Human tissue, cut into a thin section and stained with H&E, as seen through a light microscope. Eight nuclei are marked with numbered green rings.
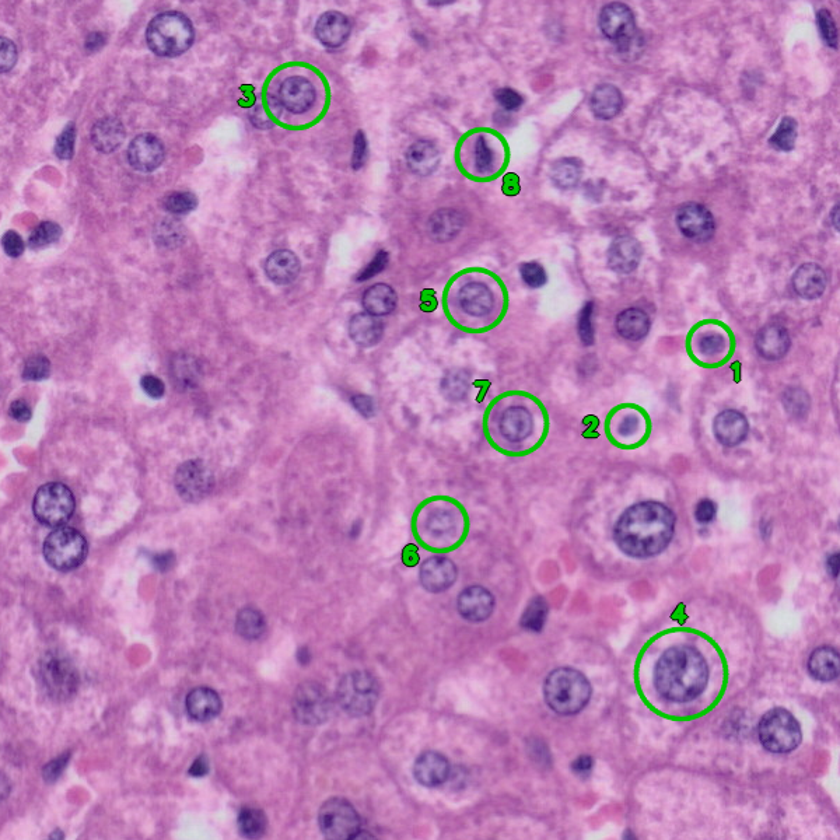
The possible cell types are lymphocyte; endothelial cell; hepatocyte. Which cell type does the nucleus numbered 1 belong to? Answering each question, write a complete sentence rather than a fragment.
Identified as a lymphocyte is the cell bearing the number 1.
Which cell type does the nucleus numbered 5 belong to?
The cell referenced by the number 5 is a hepatocyte in this field.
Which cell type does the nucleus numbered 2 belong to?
The cell marked with the number 2 is a lymphocyte.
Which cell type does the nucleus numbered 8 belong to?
Recognised here as an endothelial cell is the cell numbered 8.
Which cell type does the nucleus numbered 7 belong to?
The cell pointed out by number 7 is a hepatocyte.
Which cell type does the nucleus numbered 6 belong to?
The cell assigned the number 6 is a hepatocyte.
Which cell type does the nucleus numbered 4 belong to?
The mark numbered 4 indicates the nucleus of a hepatocyte.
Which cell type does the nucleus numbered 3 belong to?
The cell marked with the number 3 is a hepatocyte.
